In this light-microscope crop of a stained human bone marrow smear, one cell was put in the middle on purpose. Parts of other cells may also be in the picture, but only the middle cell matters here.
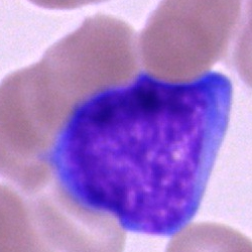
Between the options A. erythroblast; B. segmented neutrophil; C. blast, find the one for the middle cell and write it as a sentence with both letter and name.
With the cell in the middle being a blast, option C is the correct choice.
